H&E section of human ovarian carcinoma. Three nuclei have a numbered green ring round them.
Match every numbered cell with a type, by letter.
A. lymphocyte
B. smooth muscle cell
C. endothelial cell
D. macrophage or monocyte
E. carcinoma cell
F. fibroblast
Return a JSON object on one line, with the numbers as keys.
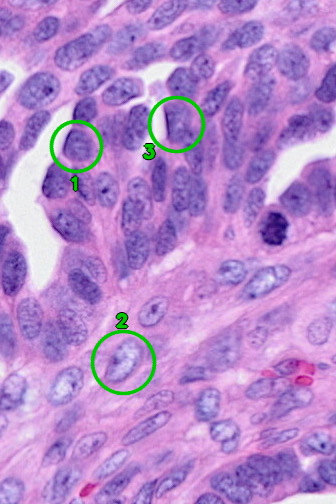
{"1": "E", "2": "F", "3": "E"}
